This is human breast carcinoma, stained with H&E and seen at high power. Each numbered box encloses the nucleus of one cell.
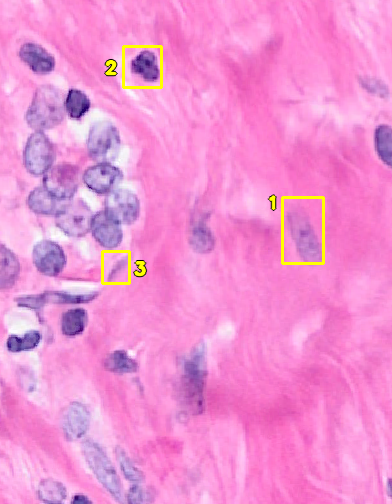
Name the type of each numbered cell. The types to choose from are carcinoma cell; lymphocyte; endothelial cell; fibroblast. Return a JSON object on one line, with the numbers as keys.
{"1": "fibroblast", "2": "lymphocyte", "3": "endothelial cell"}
